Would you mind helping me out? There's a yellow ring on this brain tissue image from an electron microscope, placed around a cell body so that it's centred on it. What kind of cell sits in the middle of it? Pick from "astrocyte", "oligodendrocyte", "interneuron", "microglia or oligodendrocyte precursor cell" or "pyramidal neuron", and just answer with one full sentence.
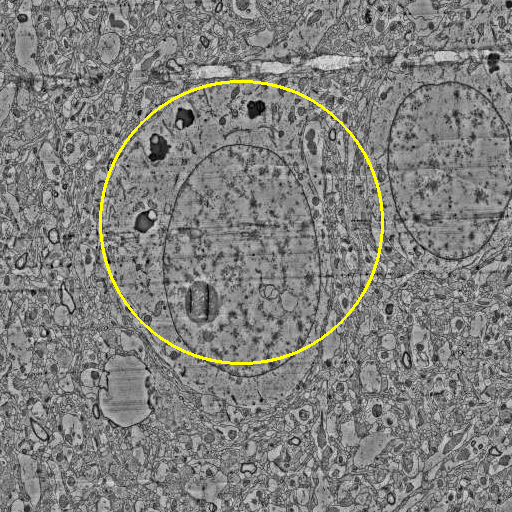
What sits in the middle of that yellow ring is a pyramidal neuron, from your choices.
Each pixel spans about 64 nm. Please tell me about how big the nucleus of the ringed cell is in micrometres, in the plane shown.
About 15 by 11 micrometers for the nucleus, in this plane.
